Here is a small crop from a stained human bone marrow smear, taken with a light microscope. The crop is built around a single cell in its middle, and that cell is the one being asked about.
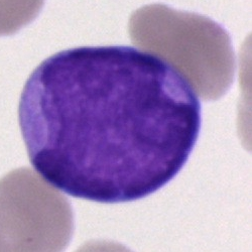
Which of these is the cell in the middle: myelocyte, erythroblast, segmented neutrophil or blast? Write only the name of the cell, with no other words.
blast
